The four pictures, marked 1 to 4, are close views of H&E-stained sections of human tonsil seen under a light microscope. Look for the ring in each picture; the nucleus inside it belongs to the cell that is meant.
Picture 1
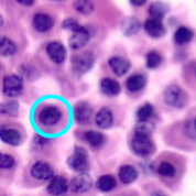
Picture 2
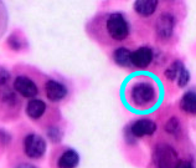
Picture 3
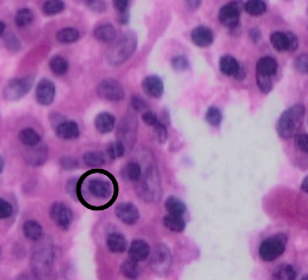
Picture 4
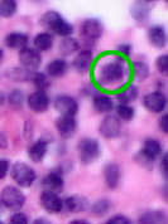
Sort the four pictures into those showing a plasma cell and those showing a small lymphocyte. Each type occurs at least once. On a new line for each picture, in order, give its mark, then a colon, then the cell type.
1: plasma cell
2: plasma cell
3: plasma cell
4: small lymphocyte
